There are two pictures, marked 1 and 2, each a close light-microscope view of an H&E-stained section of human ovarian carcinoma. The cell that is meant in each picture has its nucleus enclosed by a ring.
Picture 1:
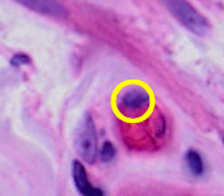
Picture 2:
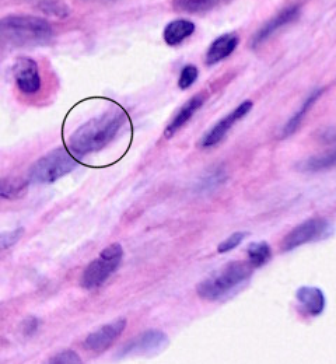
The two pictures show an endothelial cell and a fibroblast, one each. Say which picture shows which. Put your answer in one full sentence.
It is picture 1 that shows an endothelial cell, and picture 2 that shows a fibroblast.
